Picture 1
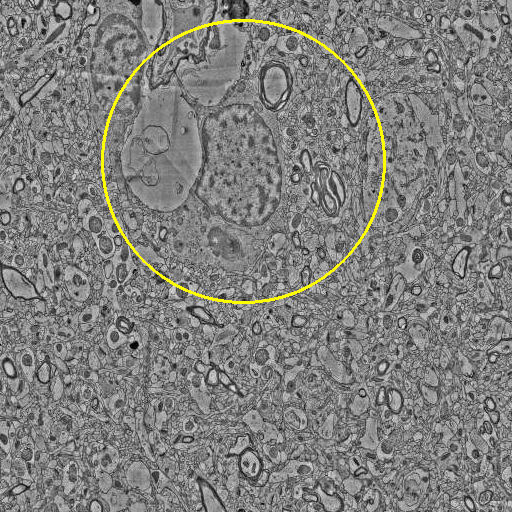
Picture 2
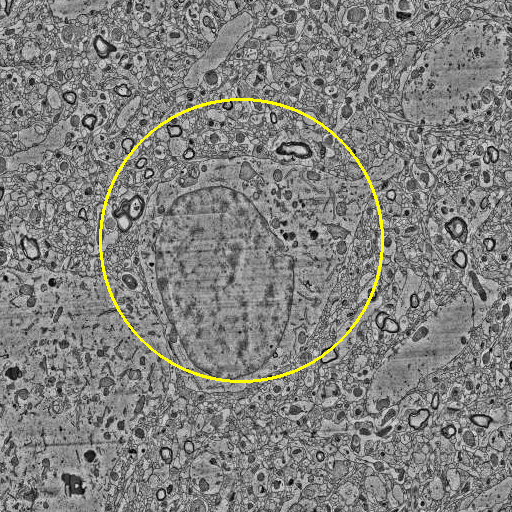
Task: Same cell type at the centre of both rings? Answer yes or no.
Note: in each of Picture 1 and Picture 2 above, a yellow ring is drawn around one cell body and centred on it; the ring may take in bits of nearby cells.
no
